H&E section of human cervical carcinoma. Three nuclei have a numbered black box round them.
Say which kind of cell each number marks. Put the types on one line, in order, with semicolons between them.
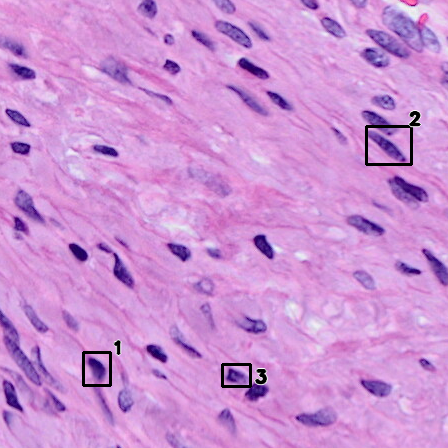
lymphocyte; fibroblast; fibroblast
